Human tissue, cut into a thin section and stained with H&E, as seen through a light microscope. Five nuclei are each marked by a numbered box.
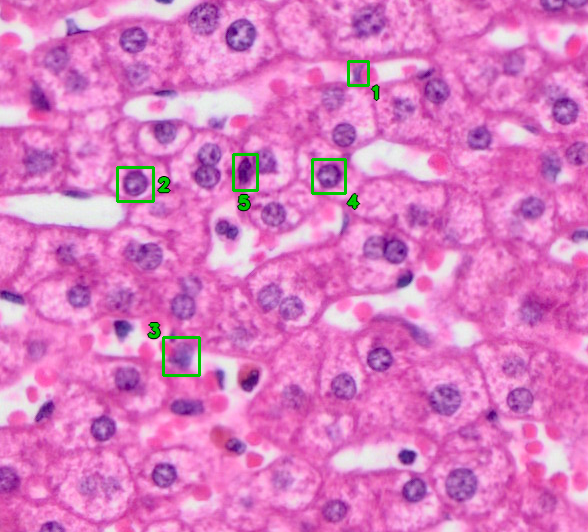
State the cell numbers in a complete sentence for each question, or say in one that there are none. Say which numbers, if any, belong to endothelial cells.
Identified as endothelial cells are the cells numbered 1 and 3.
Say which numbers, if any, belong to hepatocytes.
The cells numbered 2 and 4 are identified as hepatocytes.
